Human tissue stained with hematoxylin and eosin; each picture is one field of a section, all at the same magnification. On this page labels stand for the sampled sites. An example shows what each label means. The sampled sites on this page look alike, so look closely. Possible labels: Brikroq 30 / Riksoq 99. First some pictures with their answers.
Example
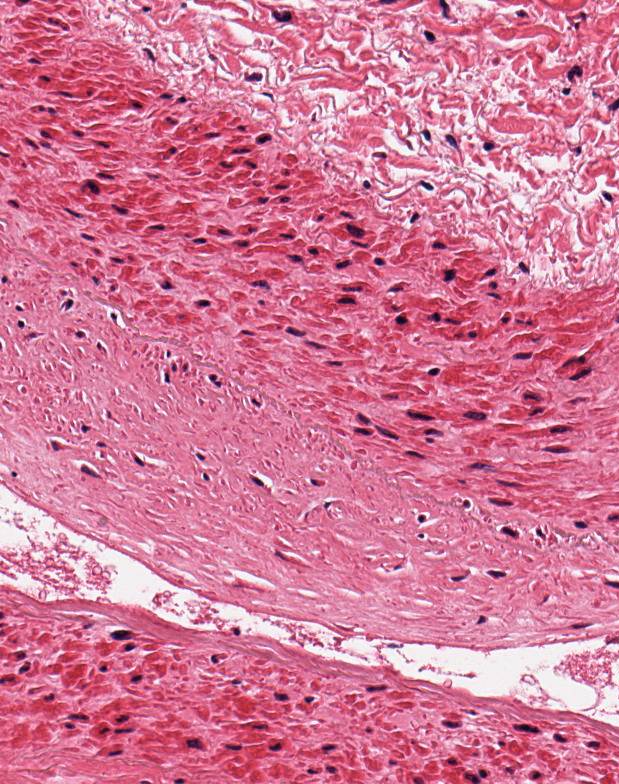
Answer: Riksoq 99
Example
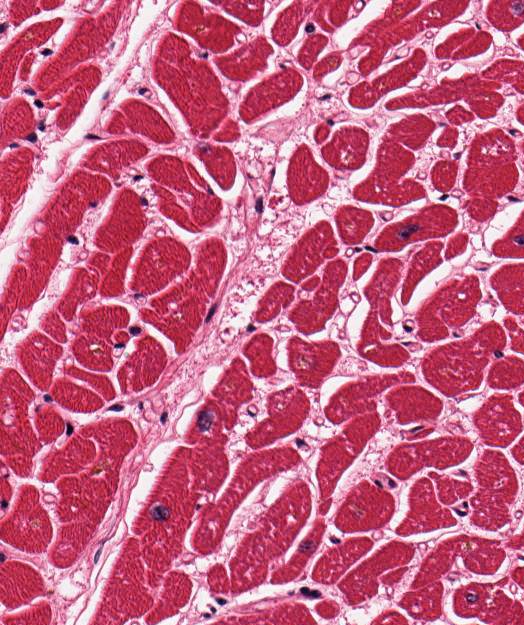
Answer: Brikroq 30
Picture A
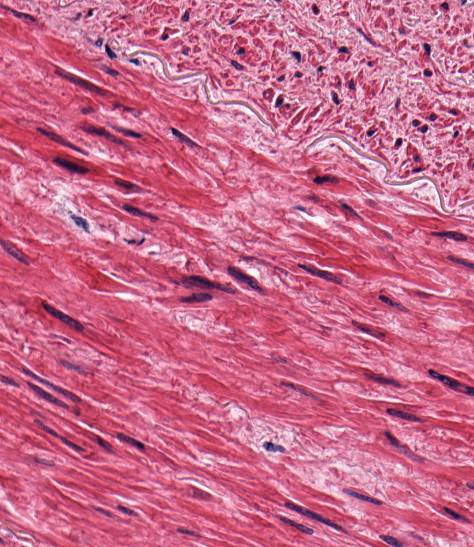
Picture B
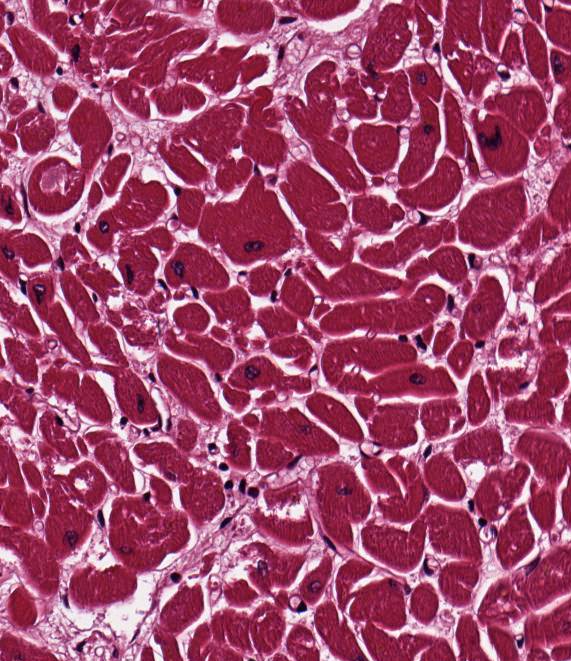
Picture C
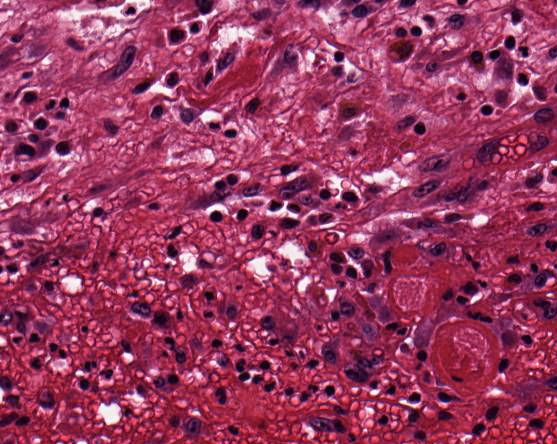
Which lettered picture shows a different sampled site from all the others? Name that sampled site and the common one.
Different: A, Riksoq 99. Others: Brikroq 30.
